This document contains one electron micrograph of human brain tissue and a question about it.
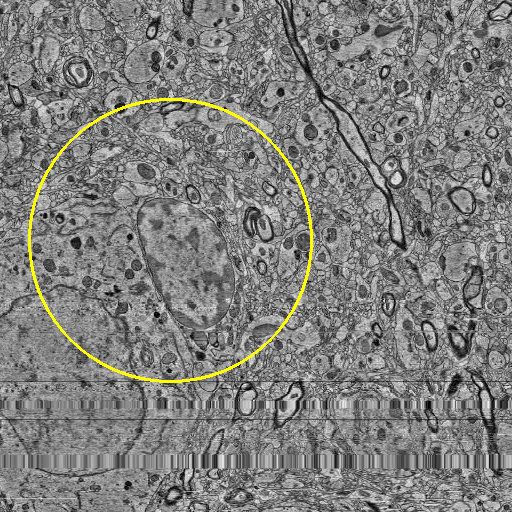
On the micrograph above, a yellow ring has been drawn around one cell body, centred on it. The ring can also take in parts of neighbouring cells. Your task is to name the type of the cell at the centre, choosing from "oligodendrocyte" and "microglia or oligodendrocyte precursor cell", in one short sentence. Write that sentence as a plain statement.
Here the ring is centred on a microglial cell or oligodendrocyte precursor cell.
